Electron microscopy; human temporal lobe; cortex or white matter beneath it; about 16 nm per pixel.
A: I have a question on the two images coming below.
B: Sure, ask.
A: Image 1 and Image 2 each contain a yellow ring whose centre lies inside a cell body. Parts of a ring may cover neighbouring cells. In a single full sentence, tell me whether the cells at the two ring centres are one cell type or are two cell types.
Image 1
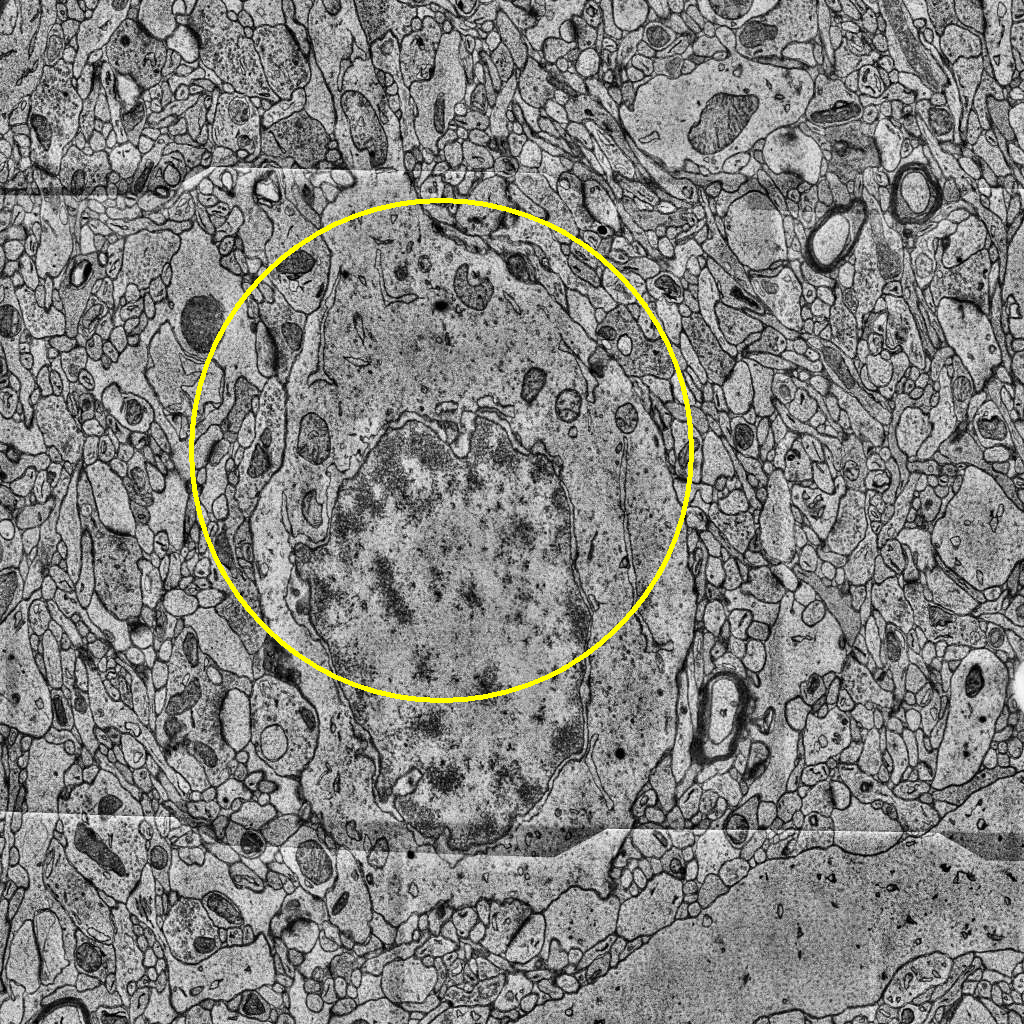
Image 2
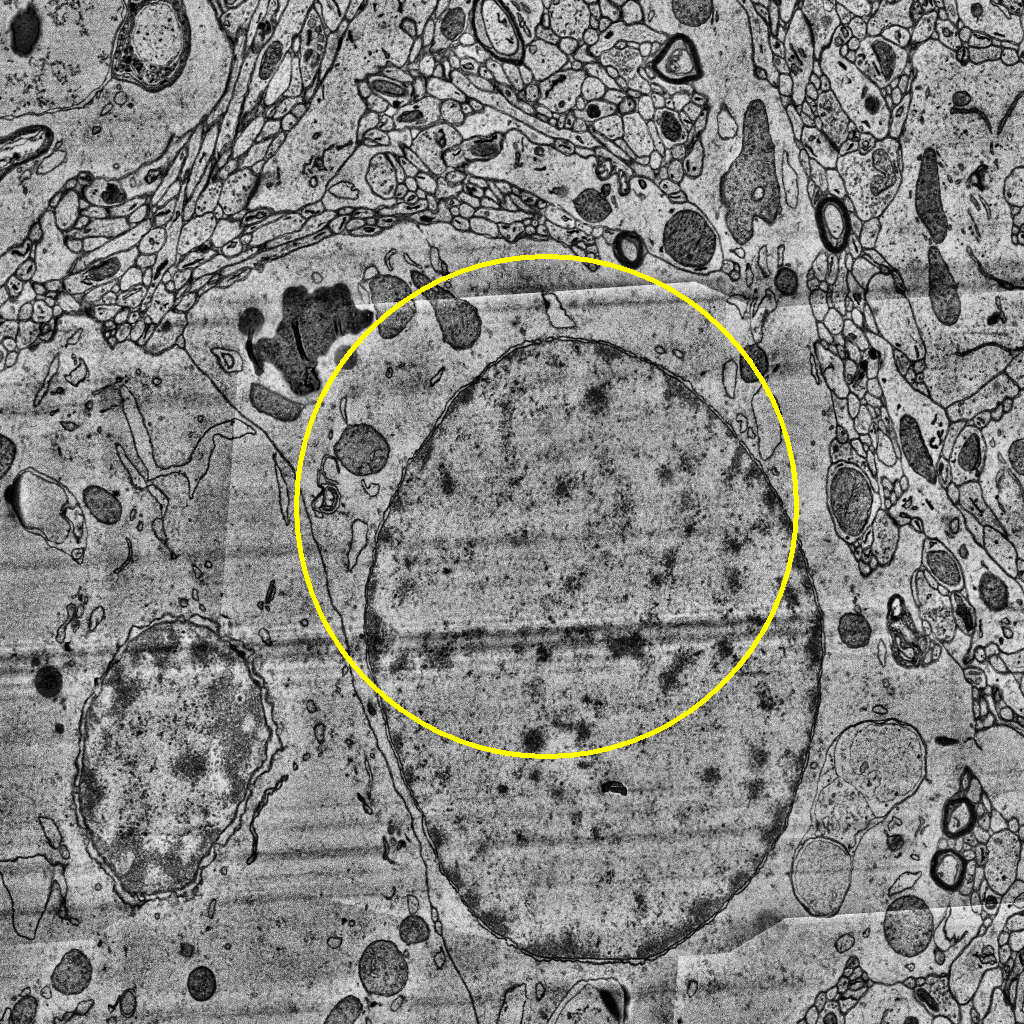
As for the ring-centre cells, the one in Image 1 and the one in Image 2 are two cell types.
